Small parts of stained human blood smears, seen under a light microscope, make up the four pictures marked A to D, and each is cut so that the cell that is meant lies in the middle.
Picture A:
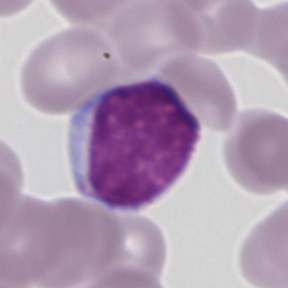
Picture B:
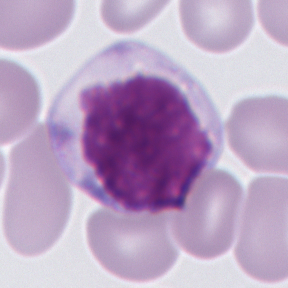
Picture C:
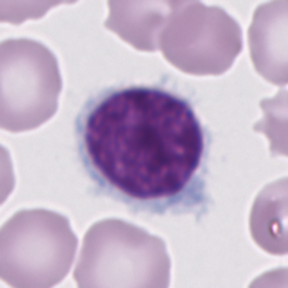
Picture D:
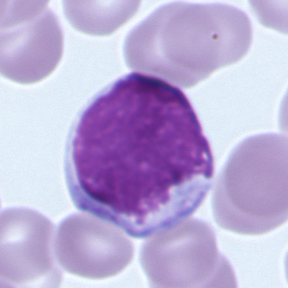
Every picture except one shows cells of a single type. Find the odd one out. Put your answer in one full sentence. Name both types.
Picture C is the odd one out: it shows a hairy cell, while the others show large granular lymphocytes.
